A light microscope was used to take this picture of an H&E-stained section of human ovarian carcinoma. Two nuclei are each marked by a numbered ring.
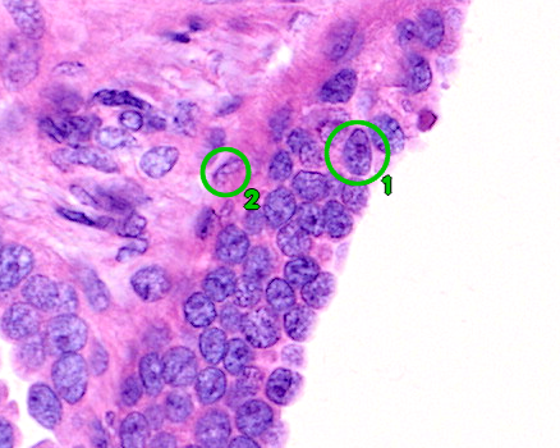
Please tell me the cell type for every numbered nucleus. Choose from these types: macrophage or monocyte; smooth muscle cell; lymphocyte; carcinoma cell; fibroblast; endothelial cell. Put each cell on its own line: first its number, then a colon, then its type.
1: carcinoma cell
2: fibroblast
